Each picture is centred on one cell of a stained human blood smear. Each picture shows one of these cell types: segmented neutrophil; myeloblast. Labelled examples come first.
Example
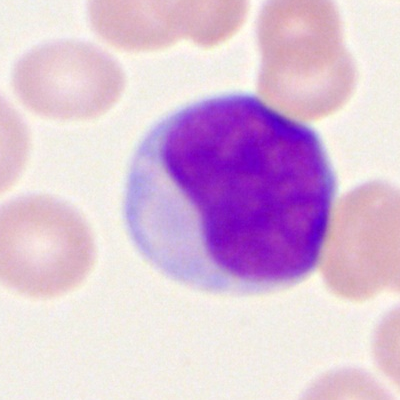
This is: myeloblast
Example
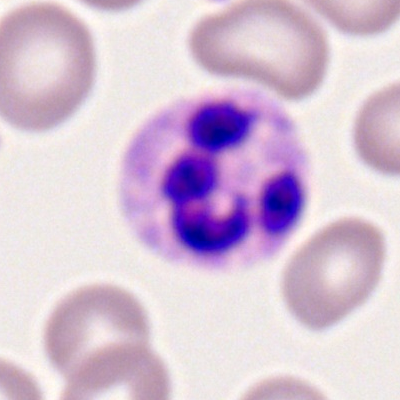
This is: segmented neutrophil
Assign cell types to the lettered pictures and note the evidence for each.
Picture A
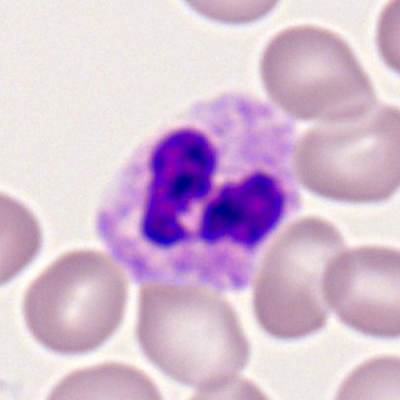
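segmented neutrophil: The cytoplasm is abundant and pale lilac-pink.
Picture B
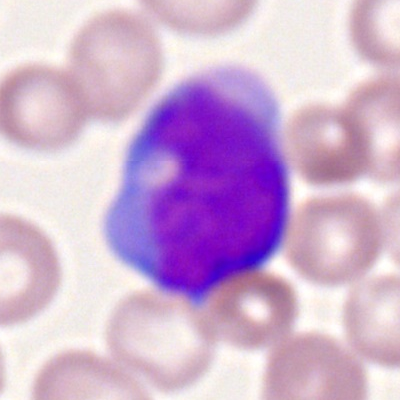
myeloblast: The nucleus fills most of the cell.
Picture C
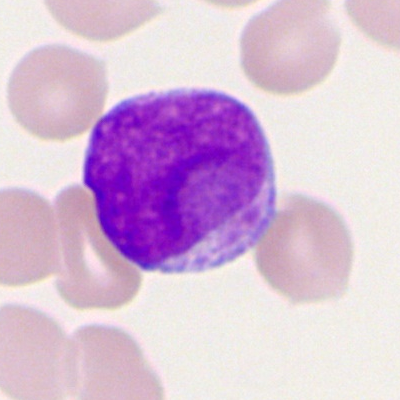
myeloblast: The cytoplasm is scant, forming a narrow pale lilac-blue crescent along the lower right edge.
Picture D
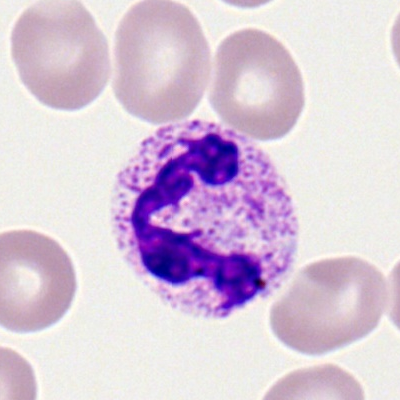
segmented neutrophil: The cytoplasm is plentiful and pale pink.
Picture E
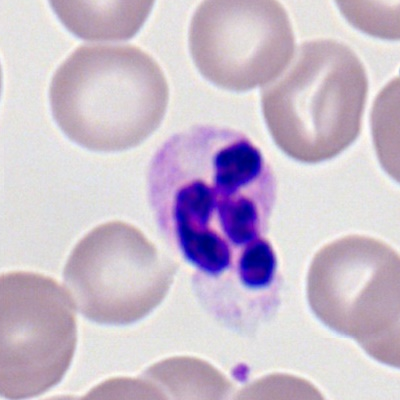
segmented neutrophil: The cytoplasm is plentiful and pale pinkish-lilac.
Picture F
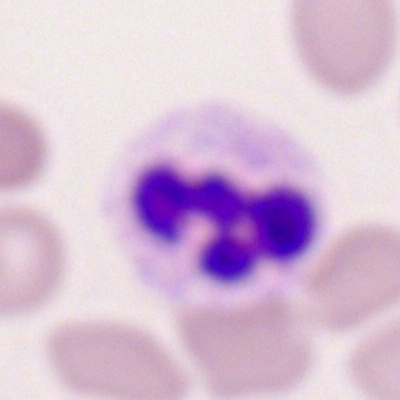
segmented neutrophil: The nucleus is divided into four lobes.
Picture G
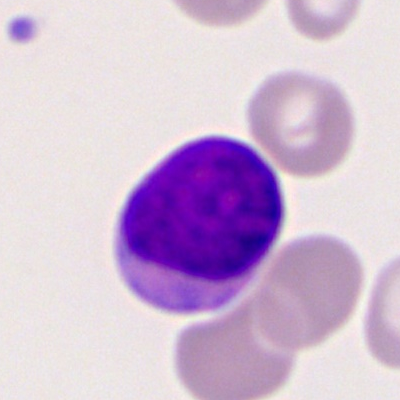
myeloblast: The nucleus fills most of the cell, leaving the cytoplasm as a crescent along the lower edge.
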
